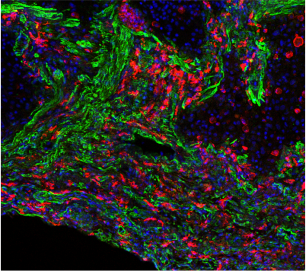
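The green cells are long, thin and spindle-shaped, gathered into wavy bundles that sweep diagonally and across the field. The red cells are scattered singly between and along these bundles; many of them are also stretched into elongated shapes rather than being round. The red cells tend to lie parallel to the green bundles, so the two kinds of cells appear aligned with each other. Small round blue nuclei are spread densely throughout, especially in the upper right, where fewer green and red cells are present.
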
